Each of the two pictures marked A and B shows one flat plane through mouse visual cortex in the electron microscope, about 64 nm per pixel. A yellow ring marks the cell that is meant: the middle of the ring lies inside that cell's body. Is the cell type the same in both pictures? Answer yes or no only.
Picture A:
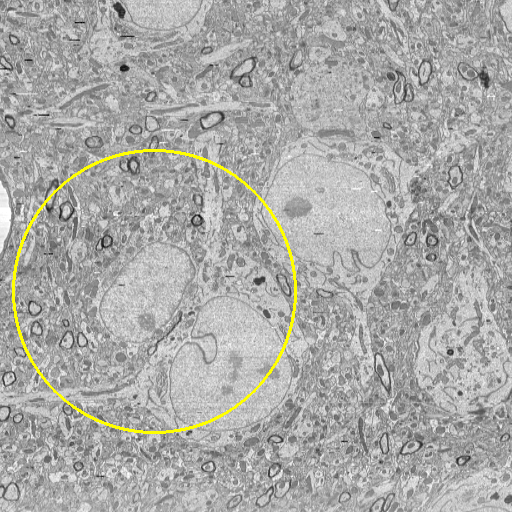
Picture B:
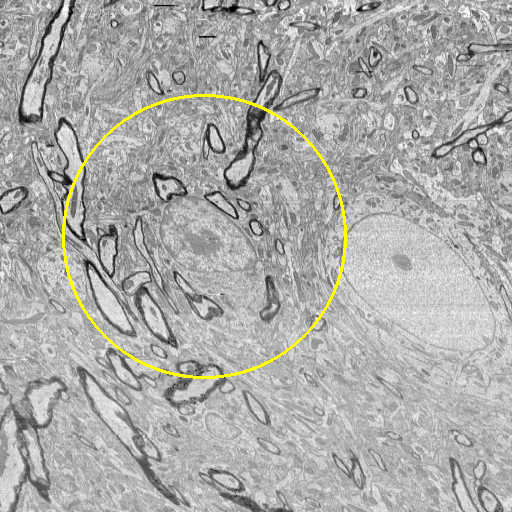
no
